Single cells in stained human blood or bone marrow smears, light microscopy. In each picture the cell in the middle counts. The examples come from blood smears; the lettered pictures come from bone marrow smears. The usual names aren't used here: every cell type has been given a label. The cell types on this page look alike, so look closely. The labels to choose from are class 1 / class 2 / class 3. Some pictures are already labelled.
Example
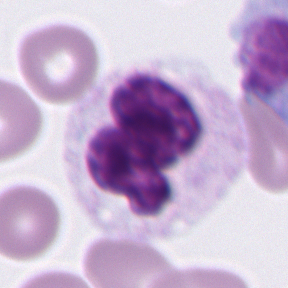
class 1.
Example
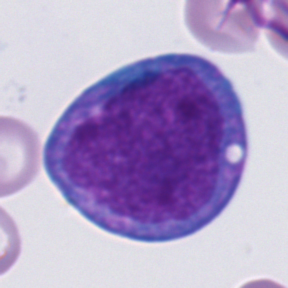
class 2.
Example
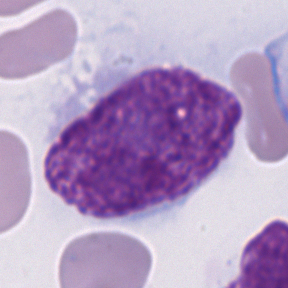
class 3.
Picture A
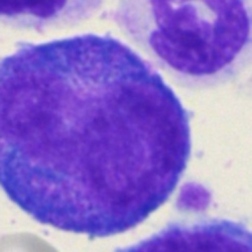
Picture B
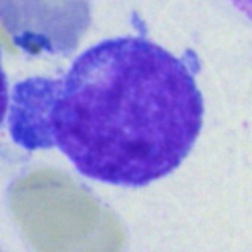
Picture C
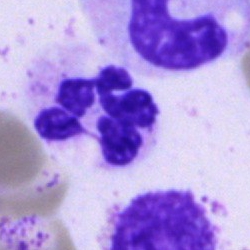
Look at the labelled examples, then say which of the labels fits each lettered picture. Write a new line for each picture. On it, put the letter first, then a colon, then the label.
A: class 2.
B: class 3.
C: class 1.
